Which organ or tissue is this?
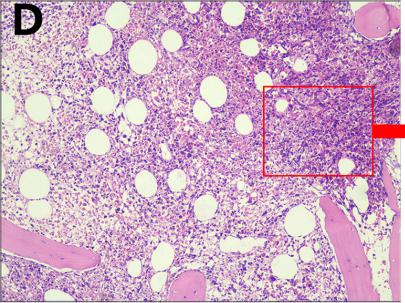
Bone marrow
